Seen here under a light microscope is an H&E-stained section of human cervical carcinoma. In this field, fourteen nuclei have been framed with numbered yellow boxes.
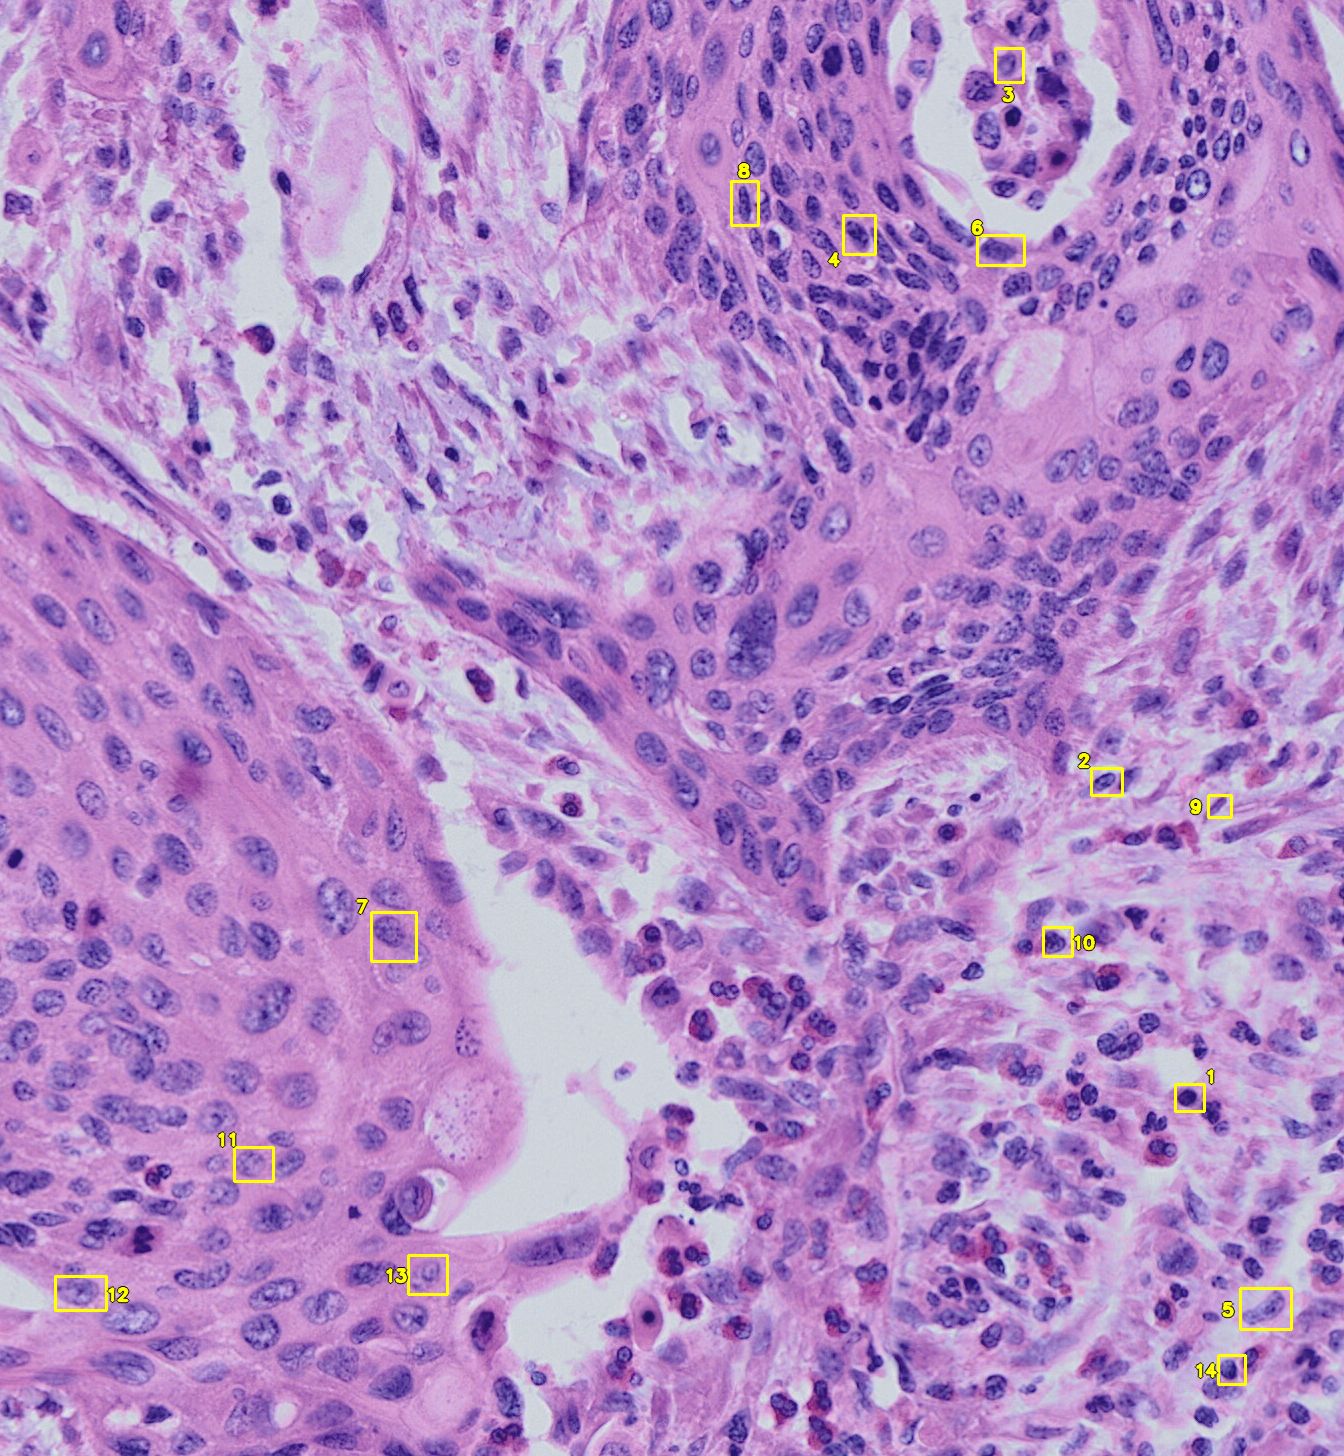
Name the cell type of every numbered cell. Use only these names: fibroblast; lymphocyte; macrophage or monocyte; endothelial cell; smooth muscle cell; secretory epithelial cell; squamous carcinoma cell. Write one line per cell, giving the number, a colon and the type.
1: lymphocyte
2: lymphocyte
3: squamous carcinoma cell
4: squamous carcinoma cell
5: macrophage or monocyte
6: squamous carcinoma cell
7: squamous carcinoma cell
8: squamous carcinoma cell
9: fibroblast
10: lymphocyte
11: squamous carcinoma cell
12: squamous carcinoma cell
13: squamous carcinoma cell
14: lymphocyte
